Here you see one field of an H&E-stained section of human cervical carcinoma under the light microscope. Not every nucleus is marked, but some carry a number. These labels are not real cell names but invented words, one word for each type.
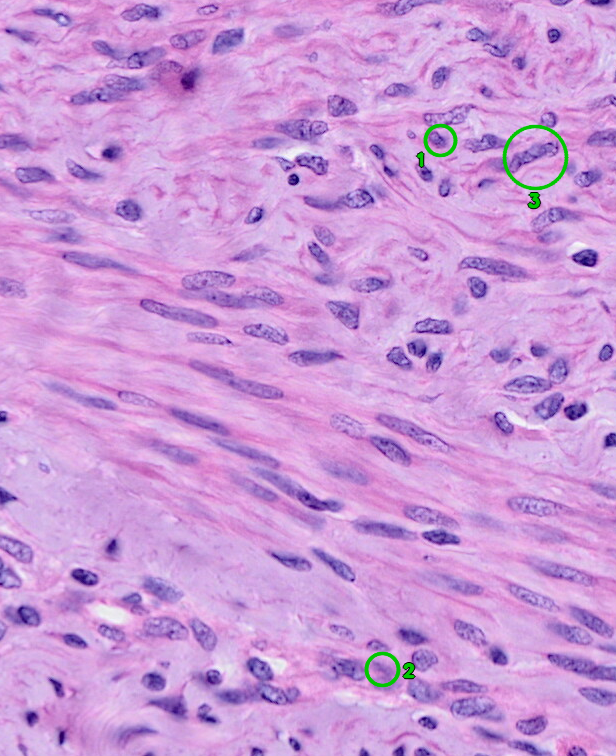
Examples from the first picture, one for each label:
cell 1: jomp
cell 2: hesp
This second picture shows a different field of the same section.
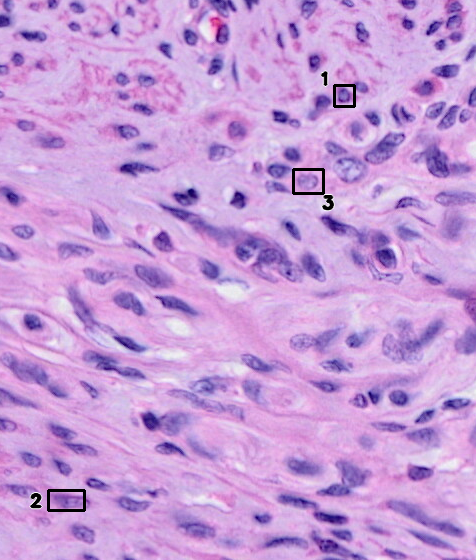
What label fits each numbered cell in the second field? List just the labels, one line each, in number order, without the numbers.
jomp
jomp
hesp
